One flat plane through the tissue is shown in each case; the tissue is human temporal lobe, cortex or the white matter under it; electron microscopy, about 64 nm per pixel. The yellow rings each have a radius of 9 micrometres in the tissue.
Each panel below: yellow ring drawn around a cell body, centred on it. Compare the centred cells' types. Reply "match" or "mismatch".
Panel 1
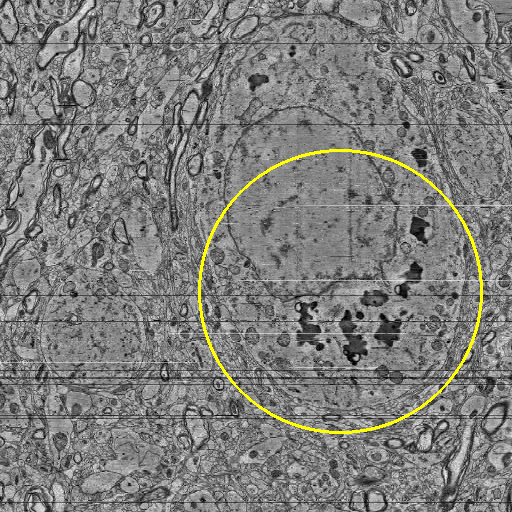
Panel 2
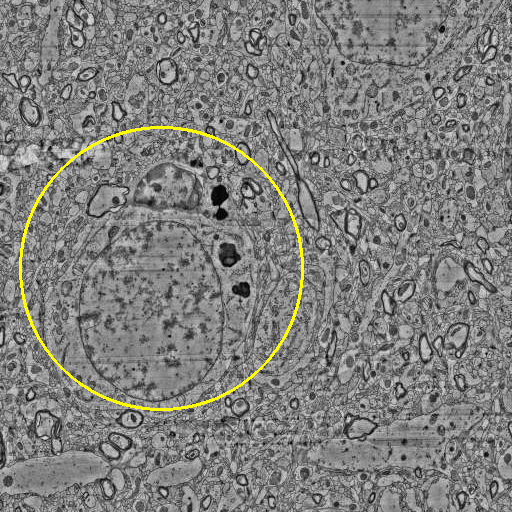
match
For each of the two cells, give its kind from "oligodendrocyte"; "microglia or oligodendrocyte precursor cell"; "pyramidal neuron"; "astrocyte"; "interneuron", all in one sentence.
The cell in the first picture is a pyramidal neuron, and so is the one in the second.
